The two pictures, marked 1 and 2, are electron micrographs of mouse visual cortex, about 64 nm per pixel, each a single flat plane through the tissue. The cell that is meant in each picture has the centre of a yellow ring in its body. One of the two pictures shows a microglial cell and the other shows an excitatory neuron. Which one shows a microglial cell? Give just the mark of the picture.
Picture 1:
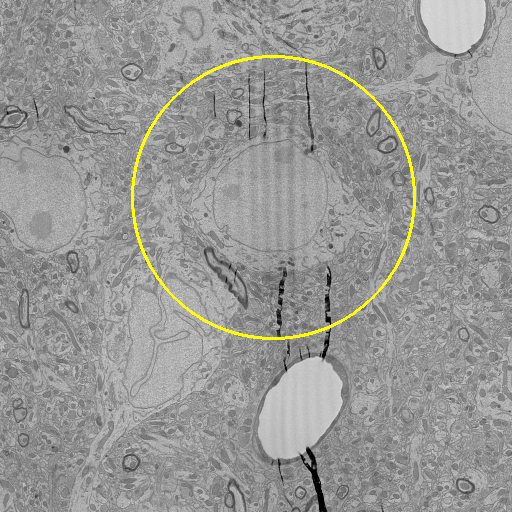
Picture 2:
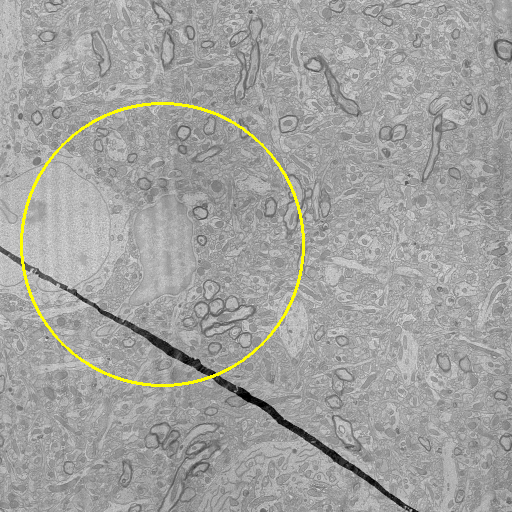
2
